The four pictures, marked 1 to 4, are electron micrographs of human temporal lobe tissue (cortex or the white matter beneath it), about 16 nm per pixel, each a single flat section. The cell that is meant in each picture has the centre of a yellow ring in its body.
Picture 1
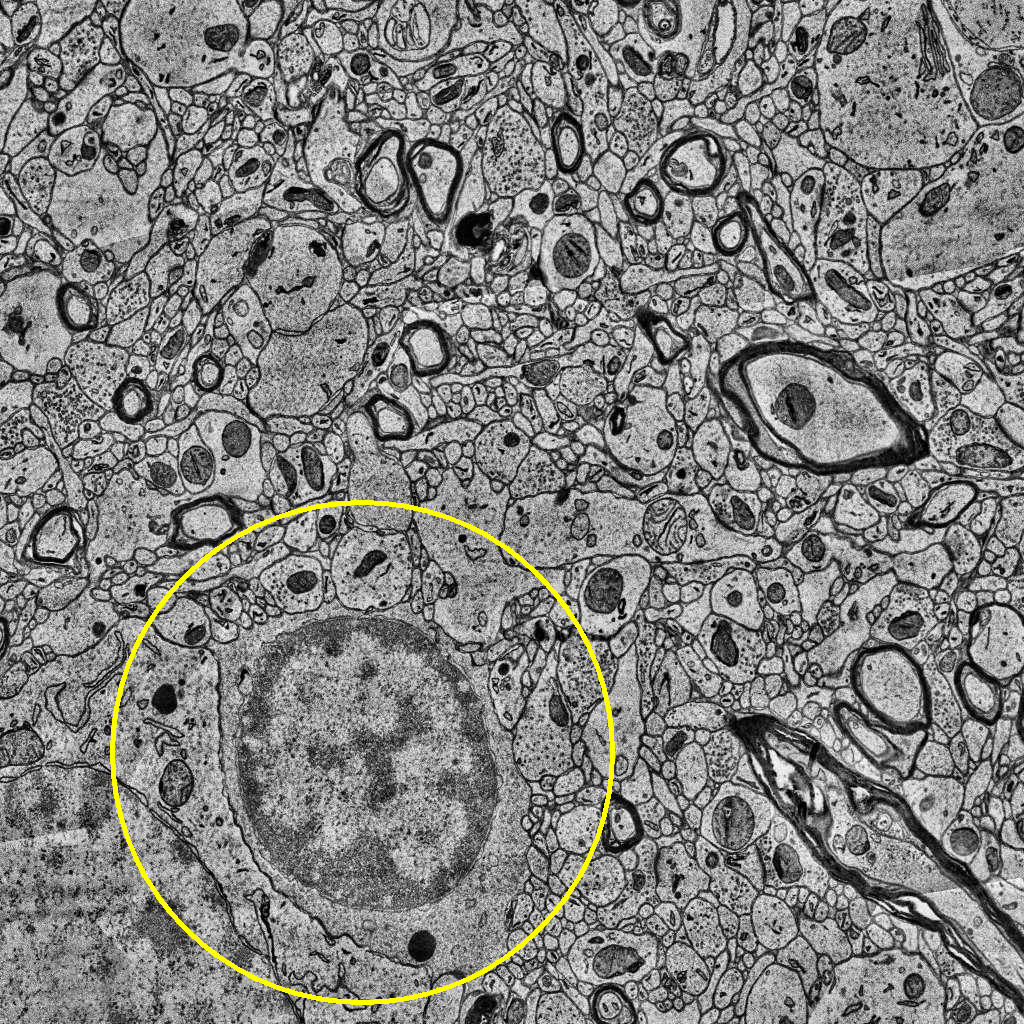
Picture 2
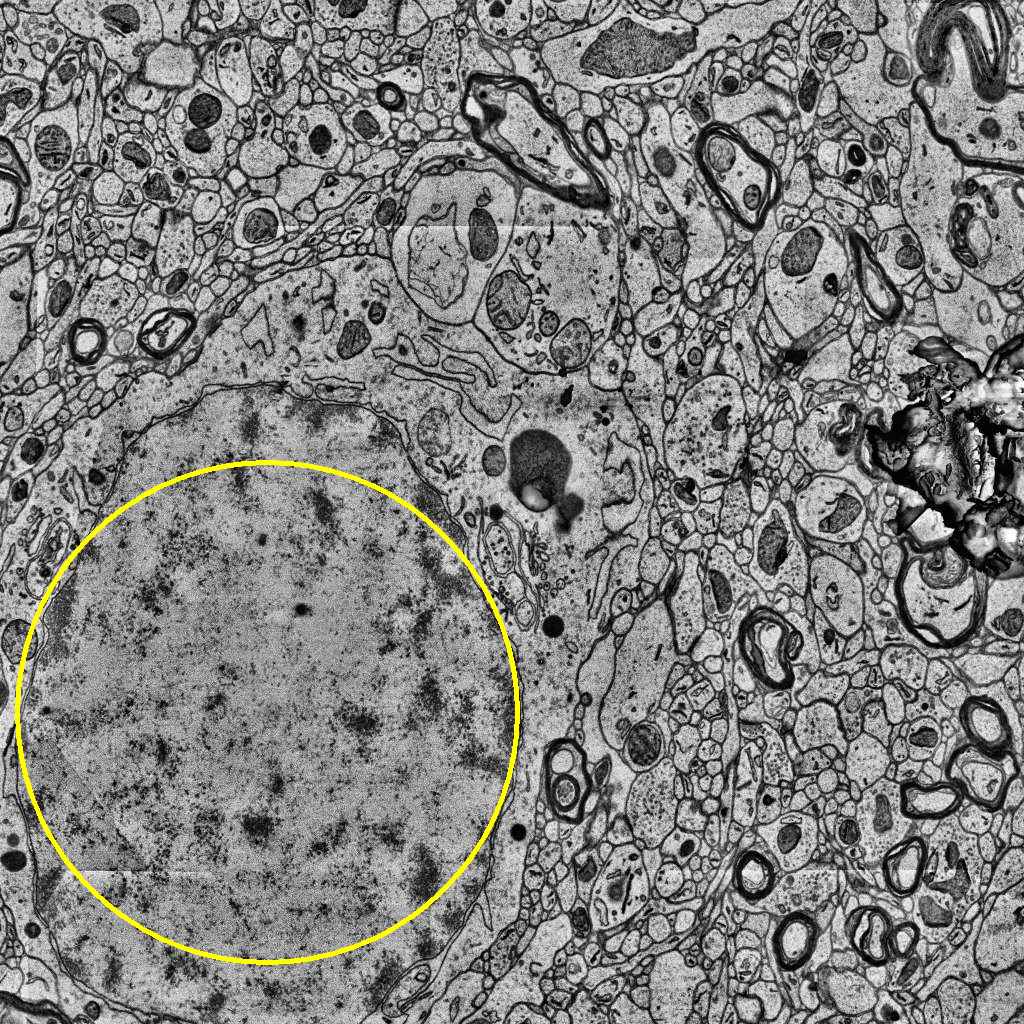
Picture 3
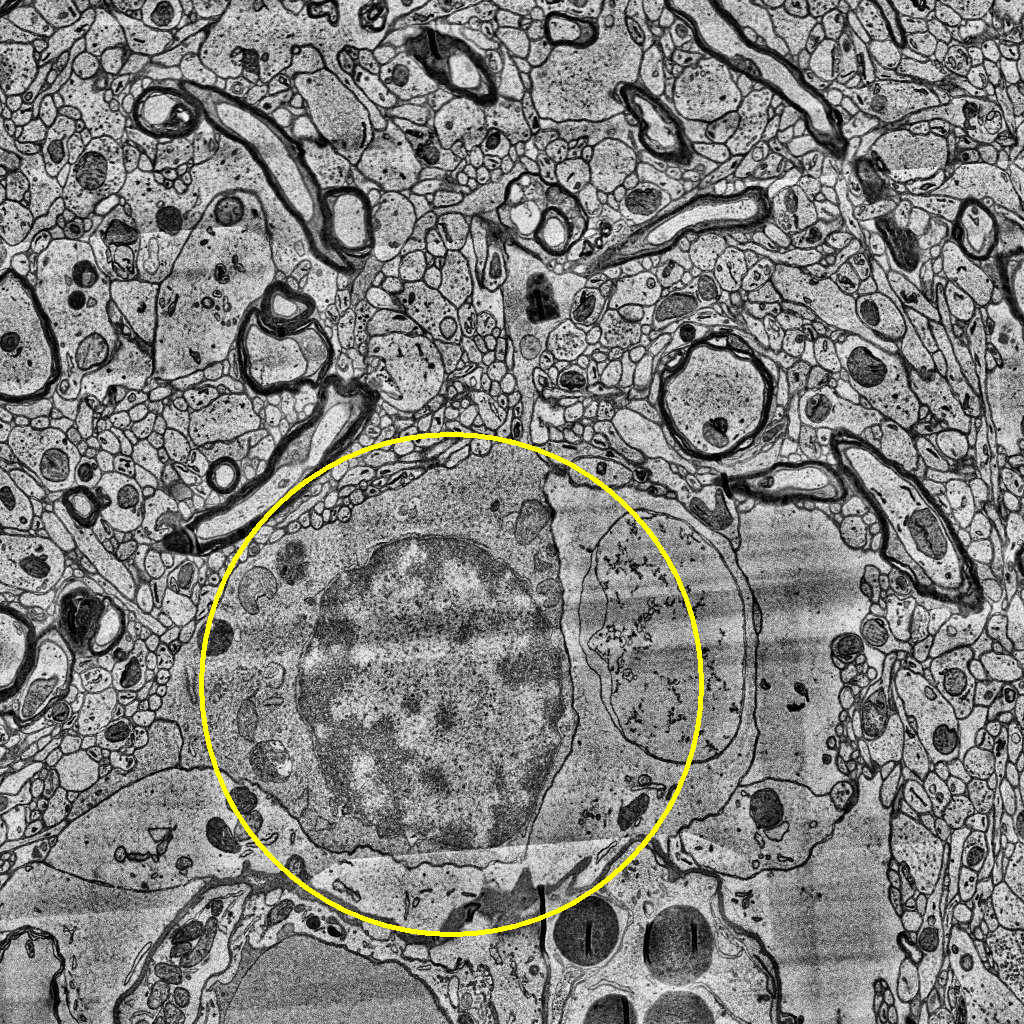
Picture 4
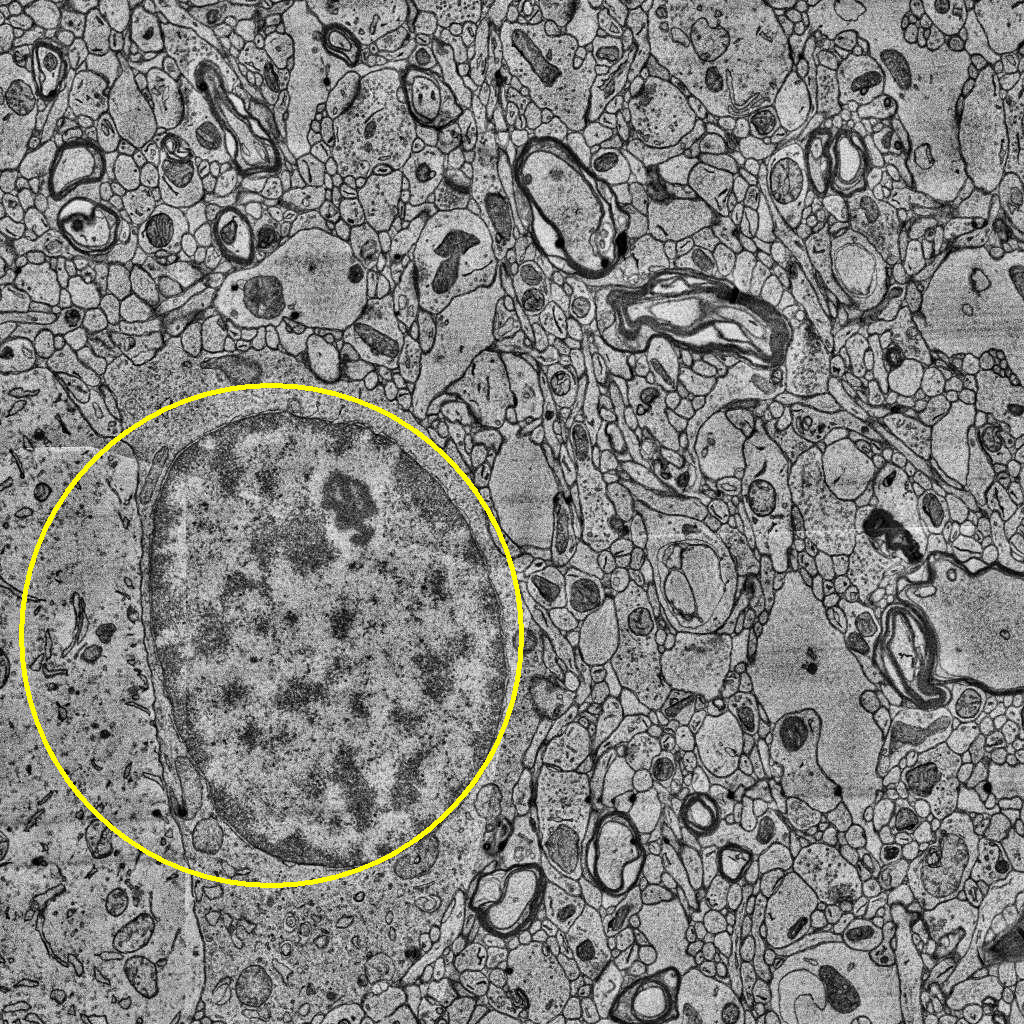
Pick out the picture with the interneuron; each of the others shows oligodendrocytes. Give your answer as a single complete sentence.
Picture 2 is the one that shows the interneuron.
